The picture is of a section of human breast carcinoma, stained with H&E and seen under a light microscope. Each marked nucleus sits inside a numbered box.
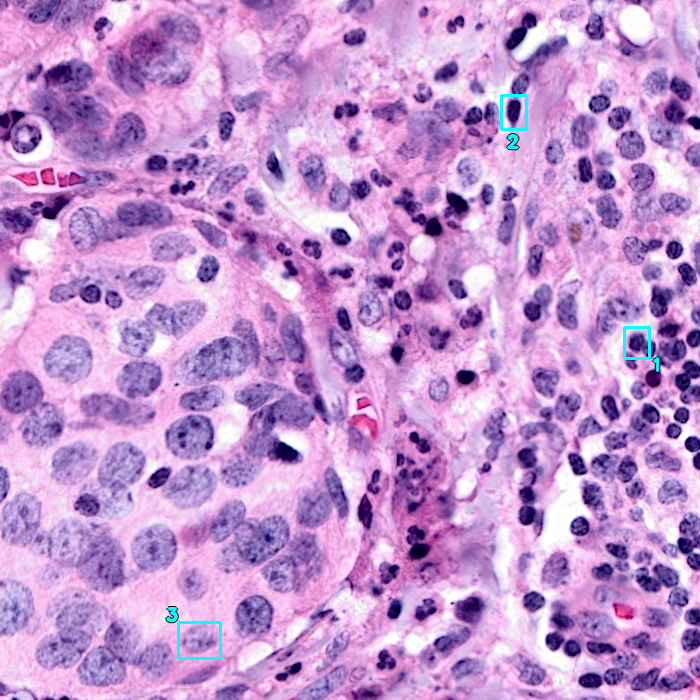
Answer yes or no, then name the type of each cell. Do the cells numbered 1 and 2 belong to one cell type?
Yes, in short, cells 1 and 2 are both lymphocytes.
